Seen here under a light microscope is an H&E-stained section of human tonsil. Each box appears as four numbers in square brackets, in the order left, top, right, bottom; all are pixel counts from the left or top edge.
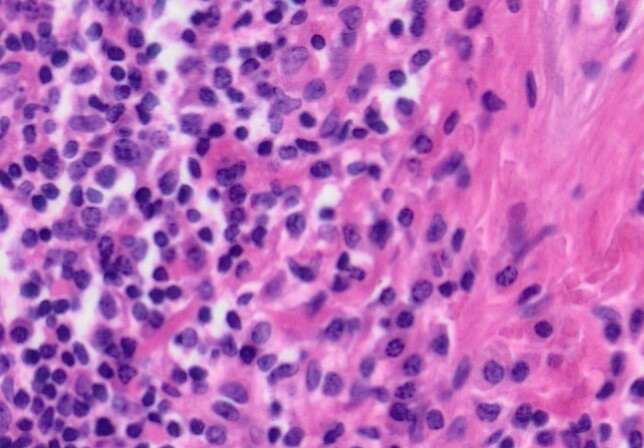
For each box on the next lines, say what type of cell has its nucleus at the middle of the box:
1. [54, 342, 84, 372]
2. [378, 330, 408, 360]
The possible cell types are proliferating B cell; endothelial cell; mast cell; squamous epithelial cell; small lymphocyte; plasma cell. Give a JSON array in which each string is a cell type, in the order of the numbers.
["small lymphocyte", "plasma cell"]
